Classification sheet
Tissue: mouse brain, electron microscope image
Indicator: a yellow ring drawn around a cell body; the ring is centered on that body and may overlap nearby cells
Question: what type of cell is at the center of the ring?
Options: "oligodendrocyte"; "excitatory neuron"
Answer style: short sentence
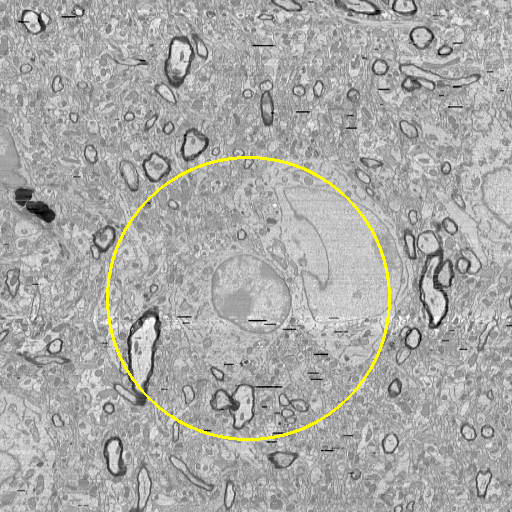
At the ring's center is an oligodendrocyte.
